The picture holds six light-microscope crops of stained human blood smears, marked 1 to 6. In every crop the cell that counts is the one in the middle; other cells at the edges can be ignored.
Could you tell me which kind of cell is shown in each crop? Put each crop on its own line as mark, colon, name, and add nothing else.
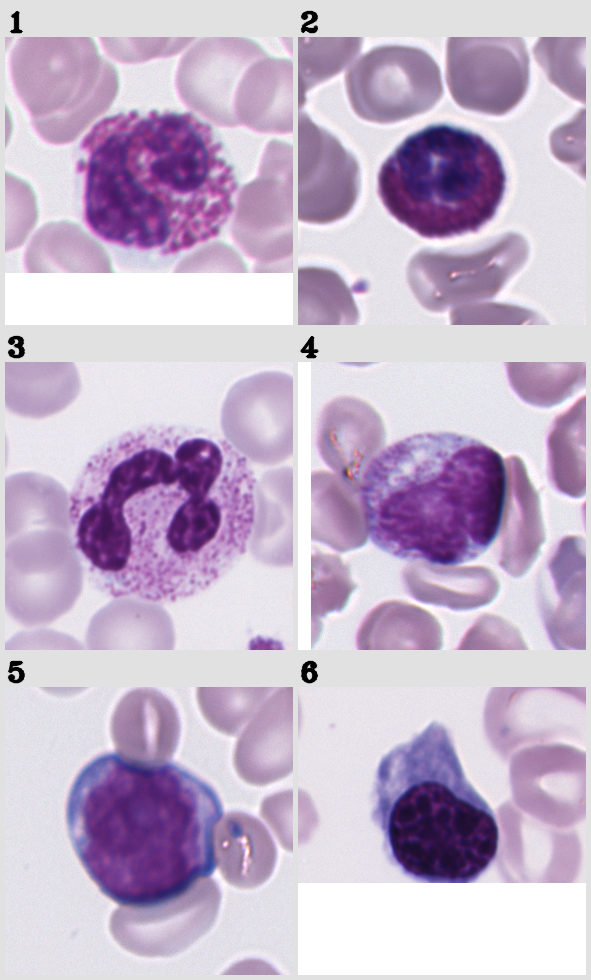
1: eosinophil
2: eosinophil
3: segmented neutrophil
4: metamyelocyte
5: myeloblast
6: normoblast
